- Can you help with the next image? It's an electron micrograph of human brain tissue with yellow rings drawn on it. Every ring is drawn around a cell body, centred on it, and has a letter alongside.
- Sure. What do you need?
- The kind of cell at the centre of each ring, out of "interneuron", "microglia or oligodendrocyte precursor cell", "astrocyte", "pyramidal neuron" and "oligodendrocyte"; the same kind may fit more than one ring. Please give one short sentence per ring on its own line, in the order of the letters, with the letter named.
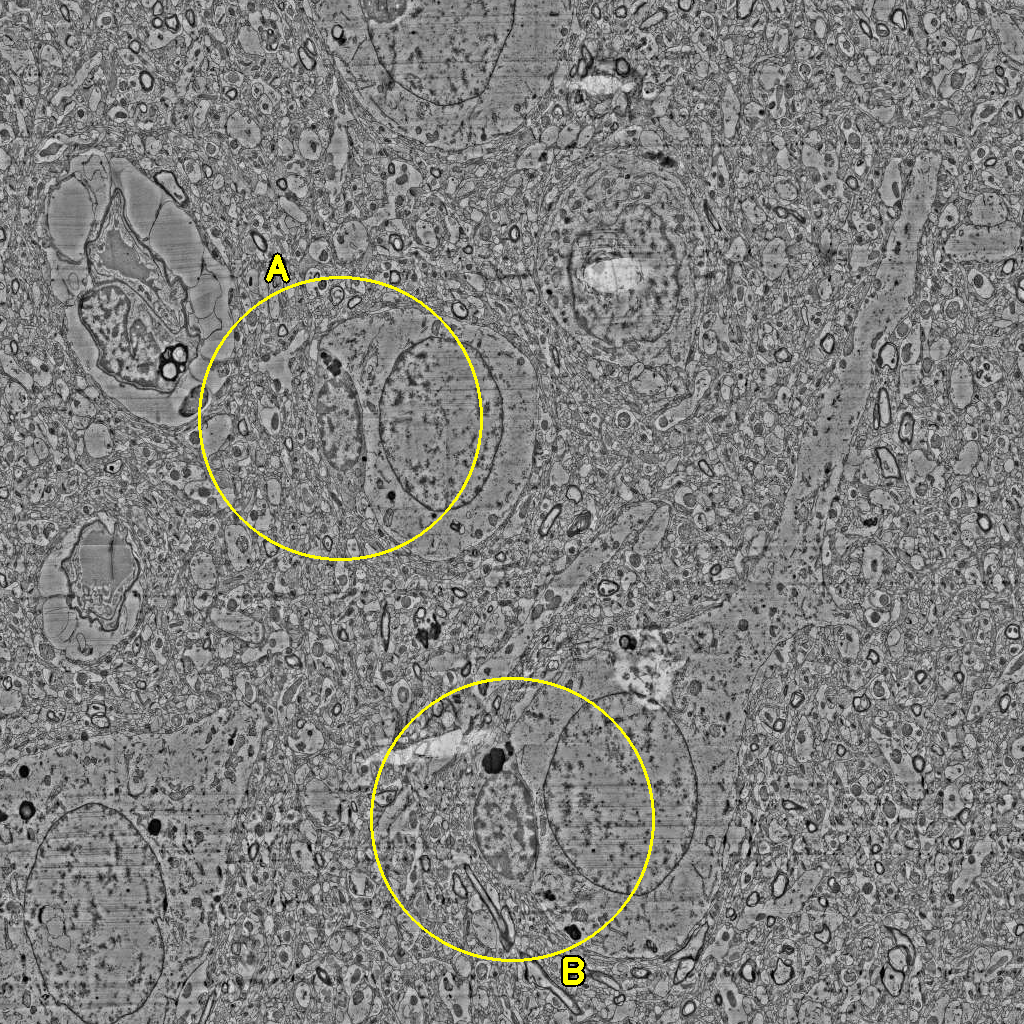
Ring A picks out an oligodendrocyte.
Ring B picks out an oligodendrocyte.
